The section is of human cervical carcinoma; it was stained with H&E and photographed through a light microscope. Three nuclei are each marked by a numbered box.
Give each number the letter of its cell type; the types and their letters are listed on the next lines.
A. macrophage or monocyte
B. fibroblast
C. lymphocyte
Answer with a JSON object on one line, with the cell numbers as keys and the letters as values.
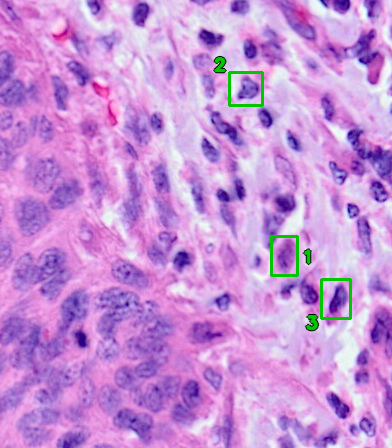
{"1": "A", "2": "C", "3": "C"}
